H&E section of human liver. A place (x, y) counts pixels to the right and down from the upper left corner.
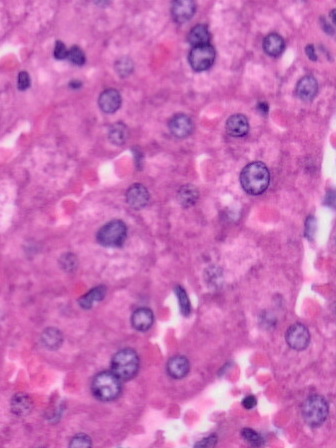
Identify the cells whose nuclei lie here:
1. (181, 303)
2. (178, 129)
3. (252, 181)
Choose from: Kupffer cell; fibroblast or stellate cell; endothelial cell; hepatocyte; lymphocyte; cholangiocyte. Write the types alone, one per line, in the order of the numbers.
Kupffer cell
hepatocyte
hepatocyte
